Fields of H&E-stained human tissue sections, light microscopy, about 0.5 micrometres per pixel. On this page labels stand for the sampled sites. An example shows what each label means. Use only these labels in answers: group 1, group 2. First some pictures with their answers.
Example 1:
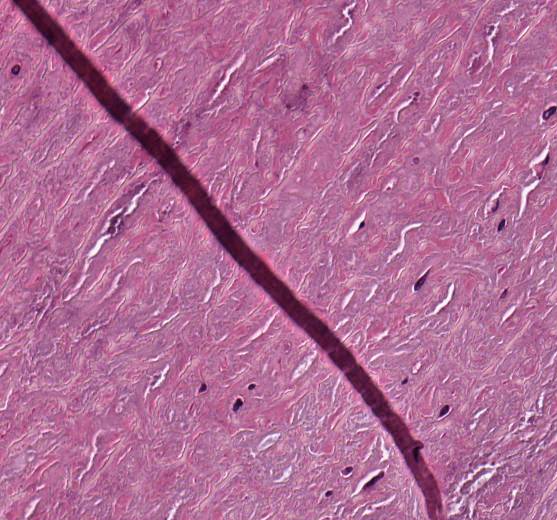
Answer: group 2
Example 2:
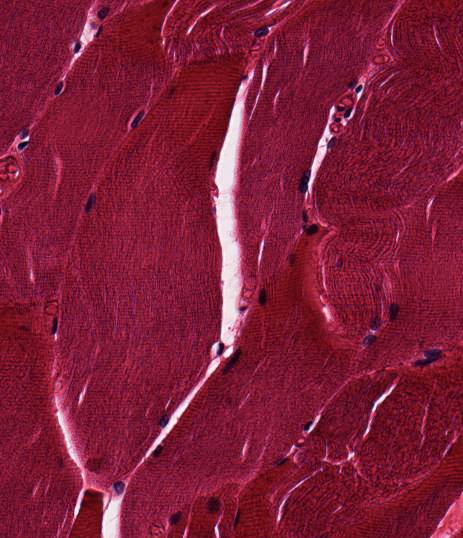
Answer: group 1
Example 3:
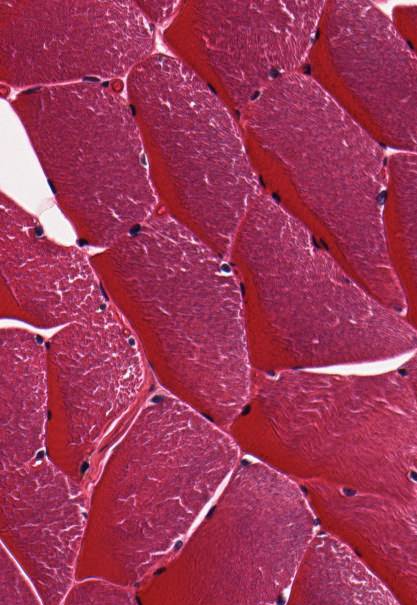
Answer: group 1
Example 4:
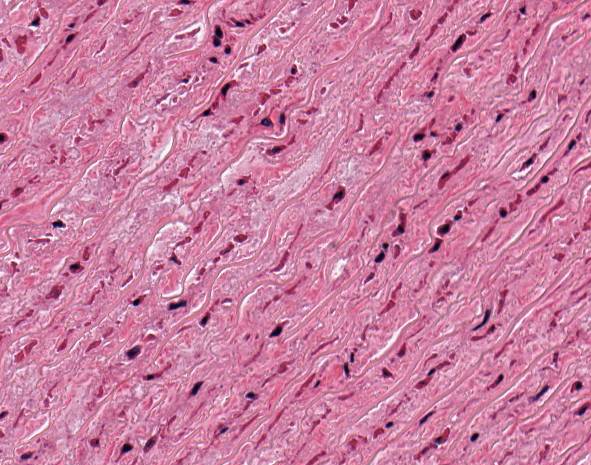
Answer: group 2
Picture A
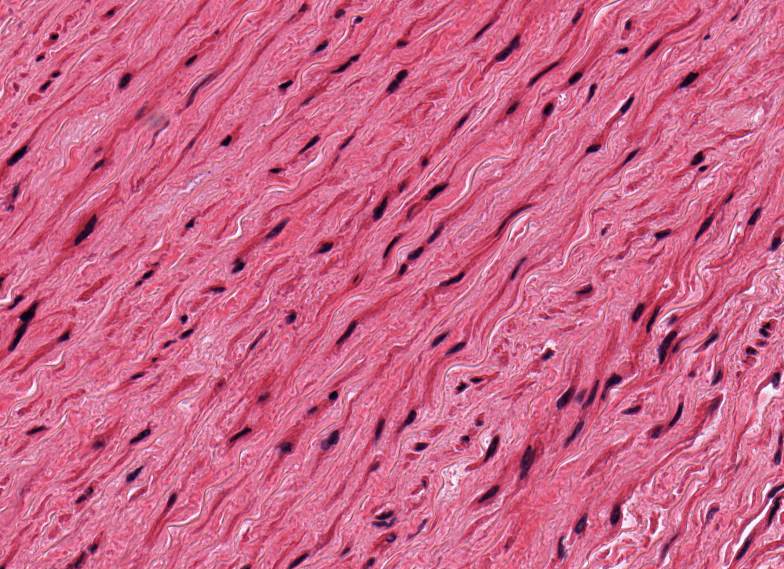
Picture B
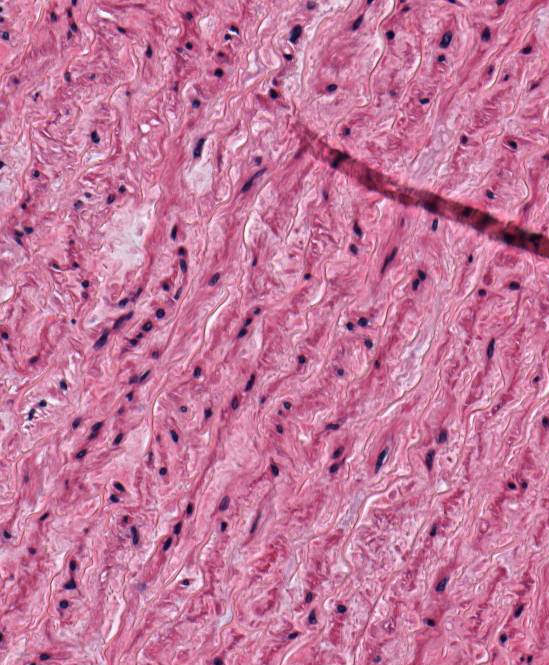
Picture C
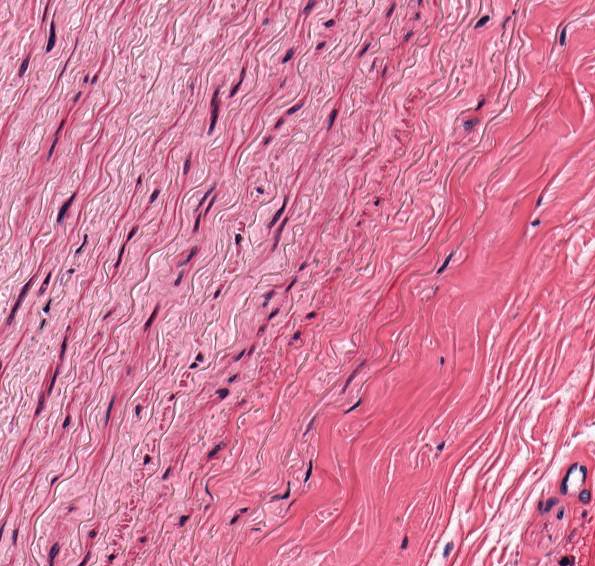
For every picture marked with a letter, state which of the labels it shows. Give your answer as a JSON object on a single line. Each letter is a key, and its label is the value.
{"A": "group 2", "B": "group 2", "C": "group 2"}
